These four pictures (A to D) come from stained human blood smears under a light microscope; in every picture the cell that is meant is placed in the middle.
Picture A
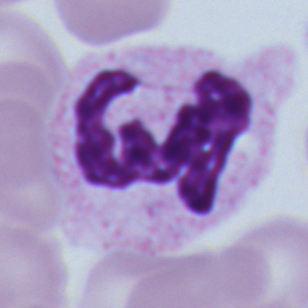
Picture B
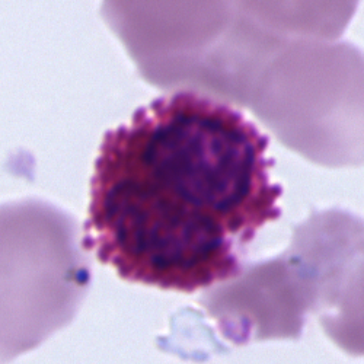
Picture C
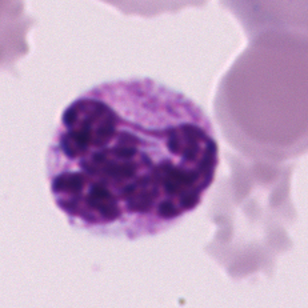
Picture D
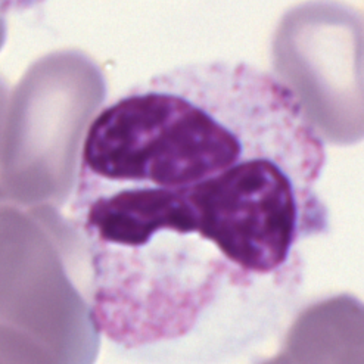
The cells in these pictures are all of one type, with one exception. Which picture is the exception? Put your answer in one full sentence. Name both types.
Picture B is the odd one out: it shows an eosinophil, while the others show segmented neutrophils.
